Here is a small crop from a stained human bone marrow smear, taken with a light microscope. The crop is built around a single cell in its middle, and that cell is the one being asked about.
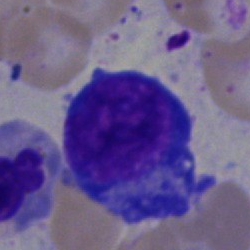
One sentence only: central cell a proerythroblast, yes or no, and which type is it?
No, it isn't a proerythroblast; what sits in the middle is a plasma cell.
